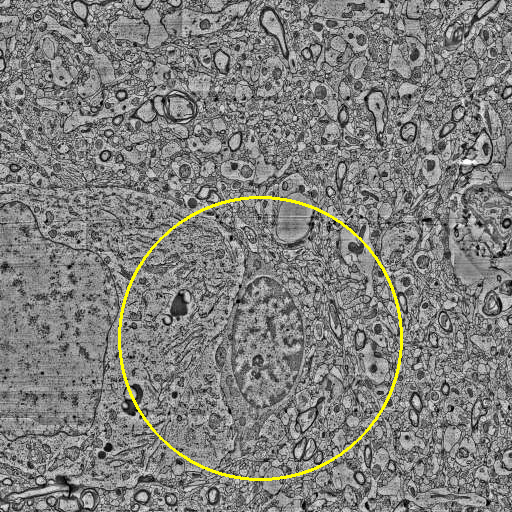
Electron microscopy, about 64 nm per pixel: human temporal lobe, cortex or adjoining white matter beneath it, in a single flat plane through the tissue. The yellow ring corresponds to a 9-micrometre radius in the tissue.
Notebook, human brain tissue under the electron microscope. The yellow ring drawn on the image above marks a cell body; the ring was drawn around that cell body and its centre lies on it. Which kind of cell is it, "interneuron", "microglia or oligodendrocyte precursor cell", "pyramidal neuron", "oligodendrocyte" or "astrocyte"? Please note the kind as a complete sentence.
The marked cell body is that of an oligodendrocyte.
